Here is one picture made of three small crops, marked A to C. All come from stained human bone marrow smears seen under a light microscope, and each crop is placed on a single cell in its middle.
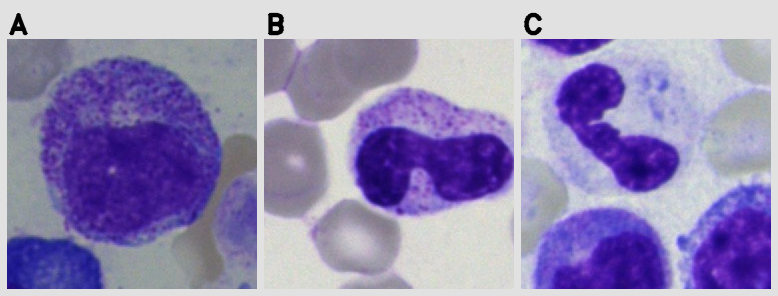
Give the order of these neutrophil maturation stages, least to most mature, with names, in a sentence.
In terms of maturity, from least to most, the order is crop A (a myelocyte), crop B (a band neutrophil) and crop C (a segmented neutrophil).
